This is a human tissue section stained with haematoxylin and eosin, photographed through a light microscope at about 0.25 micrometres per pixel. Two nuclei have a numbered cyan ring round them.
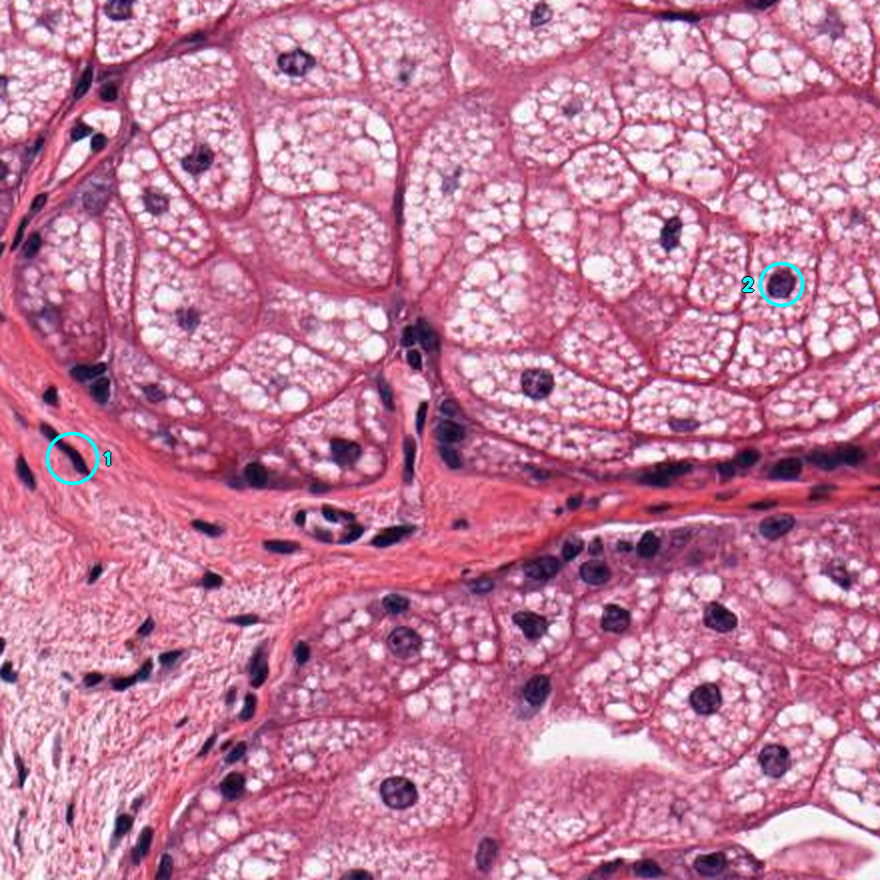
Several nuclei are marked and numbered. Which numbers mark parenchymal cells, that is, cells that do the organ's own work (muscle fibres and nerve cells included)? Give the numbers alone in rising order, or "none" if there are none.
2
